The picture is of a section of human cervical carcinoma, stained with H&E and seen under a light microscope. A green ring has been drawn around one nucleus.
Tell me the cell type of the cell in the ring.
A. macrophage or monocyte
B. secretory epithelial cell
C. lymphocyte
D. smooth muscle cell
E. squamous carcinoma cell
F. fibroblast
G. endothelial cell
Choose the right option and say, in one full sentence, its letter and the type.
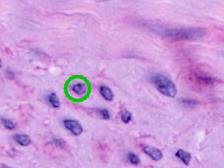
Option D gets it right: the cell in the ring is a smooth muscle cell.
